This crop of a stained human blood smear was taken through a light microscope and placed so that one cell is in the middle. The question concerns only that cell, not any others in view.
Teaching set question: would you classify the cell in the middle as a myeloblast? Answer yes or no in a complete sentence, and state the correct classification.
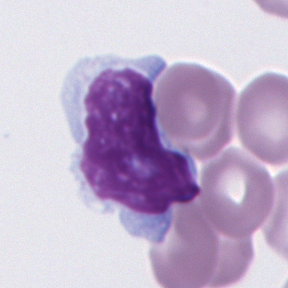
No, this is not a myeloblast at all; the cell in the middle is a typical lymphocyte.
